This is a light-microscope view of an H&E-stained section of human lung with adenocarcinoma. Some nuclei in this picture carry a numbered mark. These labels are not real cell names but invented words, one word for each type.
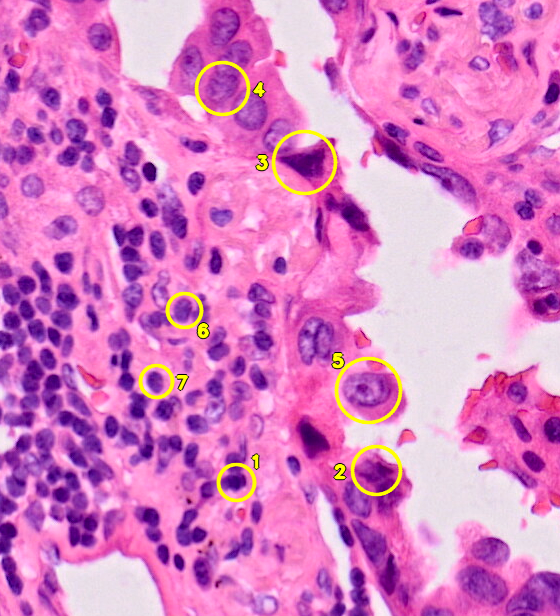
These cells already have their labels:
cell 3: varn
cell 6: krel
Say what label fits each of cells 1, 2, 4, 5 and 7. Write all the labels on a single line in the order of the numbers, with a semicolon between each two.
krel; varn; varn; varn; krel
